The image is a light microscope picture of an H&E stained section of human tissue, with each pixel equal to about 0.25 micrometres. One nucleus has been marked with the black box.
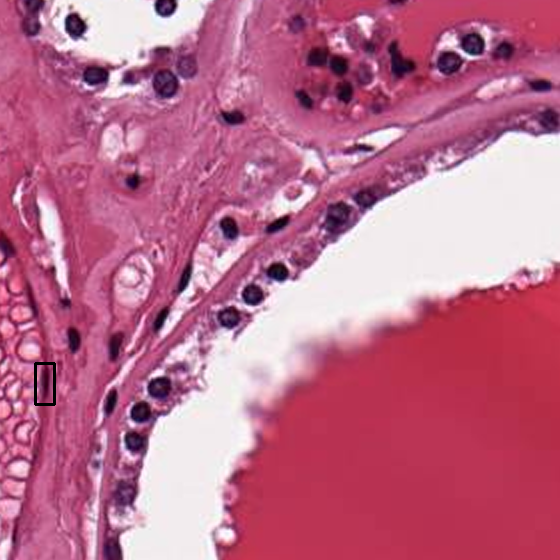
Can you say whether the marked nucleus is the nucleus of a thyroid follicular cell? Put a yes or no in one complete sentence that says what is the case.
No, the marked nucleus forms part of a supporting cell instead of a thyroid follicular cell.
